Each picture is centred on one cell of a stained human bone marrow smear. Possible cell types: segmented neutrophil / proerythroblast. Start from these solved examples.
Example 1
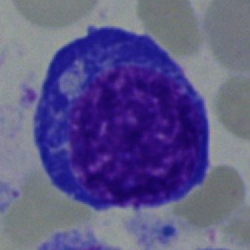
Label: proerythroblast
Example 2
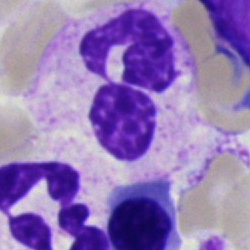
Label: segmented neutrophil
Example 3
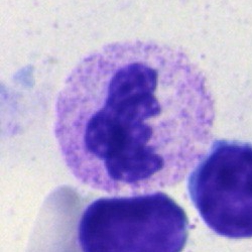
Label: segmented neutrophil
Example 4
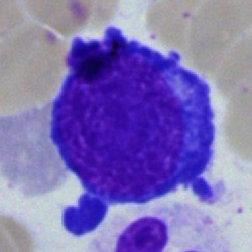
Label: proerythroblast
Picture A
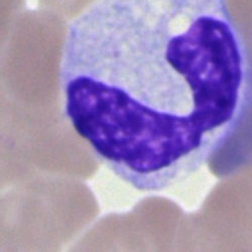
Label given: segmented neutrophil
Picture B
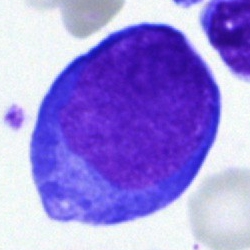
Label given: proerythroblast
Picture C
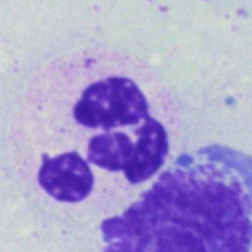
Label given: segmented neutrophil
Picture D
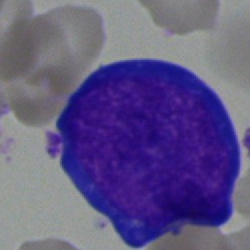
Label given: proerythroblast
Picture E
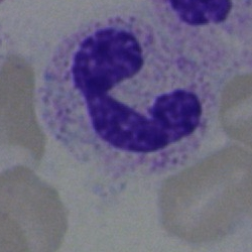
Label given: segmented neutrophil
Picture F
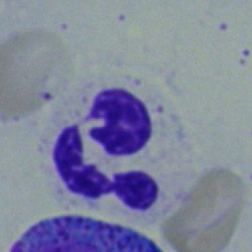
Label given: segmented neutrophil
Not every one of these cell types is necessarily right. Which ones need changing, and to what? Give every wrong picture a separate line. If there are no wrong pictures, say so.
No label is wrong.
